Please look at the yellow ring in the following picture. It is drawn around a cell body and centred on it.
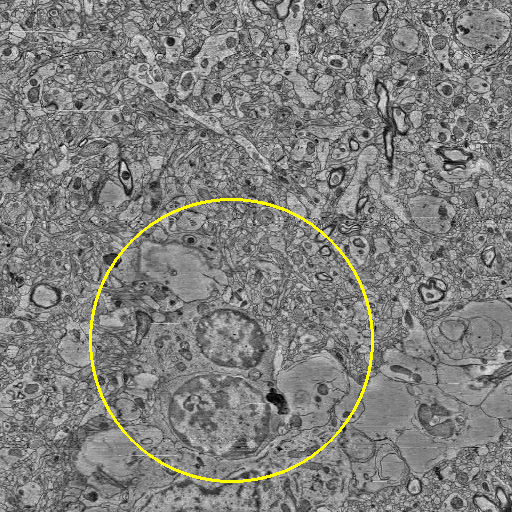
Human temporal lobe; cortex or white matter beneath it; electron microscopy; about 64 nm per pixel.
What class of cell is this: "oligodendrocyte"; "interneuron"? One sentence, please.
The ring surrounds the cell body of an oligodendrocyte.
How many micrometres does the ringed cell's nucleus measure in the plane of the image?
The nucleus is about 4 micrometres across in this plane.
